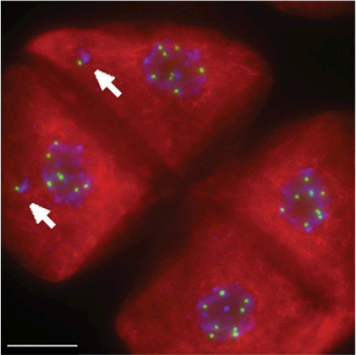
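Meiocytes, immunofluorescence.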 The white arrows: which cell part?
Mininuclei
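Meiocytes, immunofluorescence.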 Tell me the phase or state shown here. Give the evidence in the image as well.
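Four cells are packed together, each with one rounded nucleus. The cells are angular and pressed against one another as a group.
Answer: Tetrad-stage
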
